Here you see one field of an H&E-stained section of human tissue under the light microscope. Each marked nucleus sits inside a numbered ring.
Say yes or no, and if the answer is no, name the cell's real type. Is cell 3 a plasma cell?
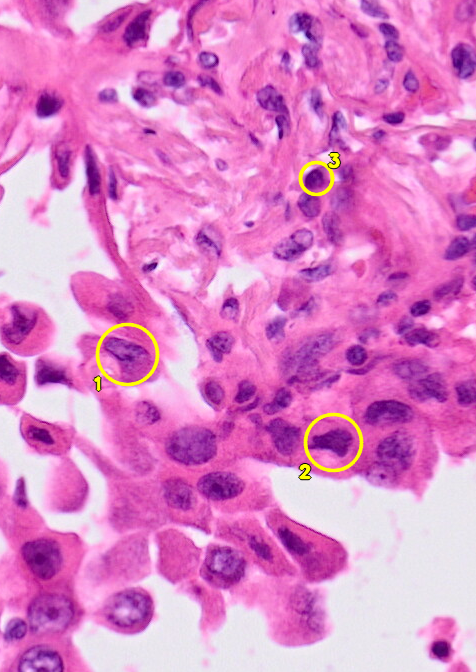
Yes.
